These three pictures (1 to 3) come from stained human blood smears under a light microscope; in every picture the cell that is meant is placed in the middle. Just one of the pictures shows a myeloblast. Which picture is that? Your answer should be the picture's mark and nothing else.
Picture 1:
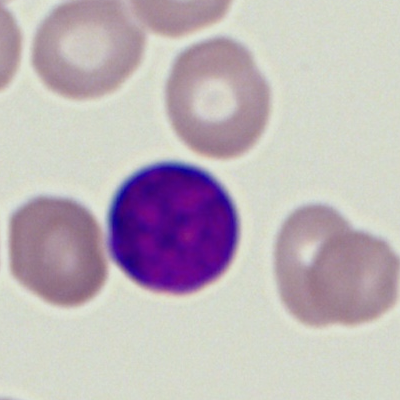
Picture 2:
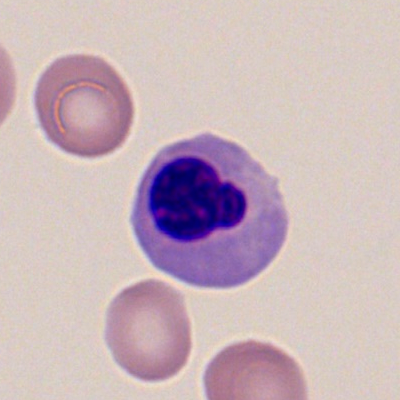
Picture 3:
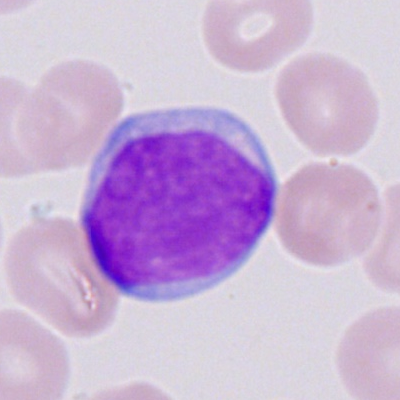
3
